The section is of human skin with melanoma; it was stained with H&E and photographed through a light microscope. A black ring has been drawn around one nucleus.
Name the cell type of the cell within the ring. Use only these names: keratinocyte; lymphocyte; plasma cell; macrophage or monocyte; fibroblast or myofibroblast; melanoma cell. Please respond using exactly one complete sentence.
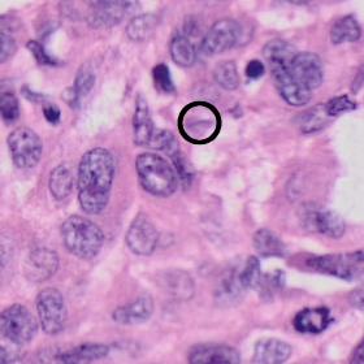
In this section, the cell within the ring is a melanoma cell.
